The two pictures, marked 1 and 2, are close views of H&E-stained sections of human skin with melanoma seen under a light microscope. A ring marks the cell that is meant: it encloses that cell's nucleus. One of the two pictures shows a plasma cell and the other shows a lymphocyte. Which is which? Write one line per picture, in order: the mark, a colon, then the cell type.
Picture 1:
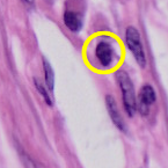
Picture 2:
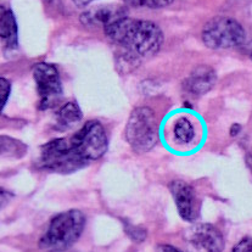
1: plasma cell
2: lymphocyte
